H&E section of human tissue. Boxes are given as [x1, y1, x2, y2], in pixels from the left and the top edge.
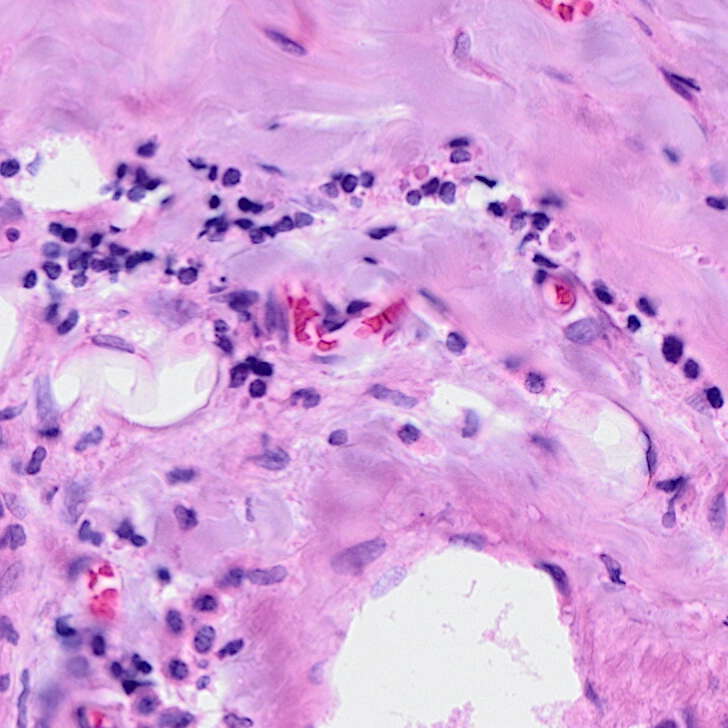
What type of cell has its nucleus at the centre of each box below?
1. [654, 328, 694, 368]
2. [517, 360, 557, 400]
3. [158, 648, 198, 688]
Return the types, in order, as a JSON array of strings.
["lymphocyte", "mast cell", "mast cell"]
